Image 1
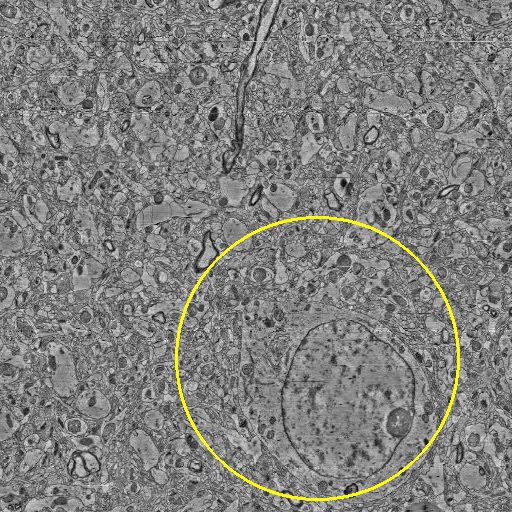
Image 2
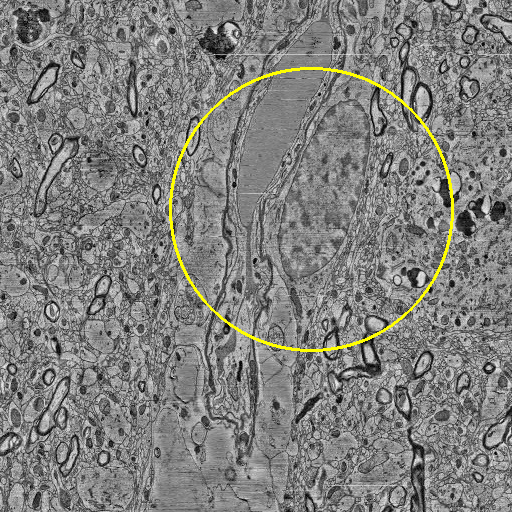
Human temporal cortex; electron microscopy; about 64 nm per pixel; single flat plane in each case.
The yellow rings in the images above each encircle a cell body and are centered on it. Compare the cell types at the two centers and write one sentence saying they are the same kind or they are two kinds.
Taken together, the two cells at the ring centers are two kinds.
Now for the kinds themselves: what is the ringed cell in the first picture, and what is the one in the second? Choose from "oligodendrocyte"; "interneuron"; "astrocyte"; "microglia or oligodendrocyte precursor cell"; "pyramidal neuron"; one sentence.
Here the first cell is a pyramidal neuron and the second cell is an oligodendrocyte.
